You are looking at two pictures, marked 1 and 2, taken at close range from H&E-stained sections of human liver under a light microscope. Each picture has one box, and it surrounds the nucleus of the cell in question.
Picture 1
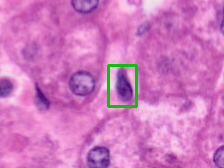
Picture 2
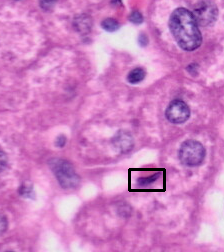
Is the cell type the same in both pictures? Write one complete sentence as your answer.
No. Picture 1 shows a Kupffer cell, but picture 2 shows an endothelial cell.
